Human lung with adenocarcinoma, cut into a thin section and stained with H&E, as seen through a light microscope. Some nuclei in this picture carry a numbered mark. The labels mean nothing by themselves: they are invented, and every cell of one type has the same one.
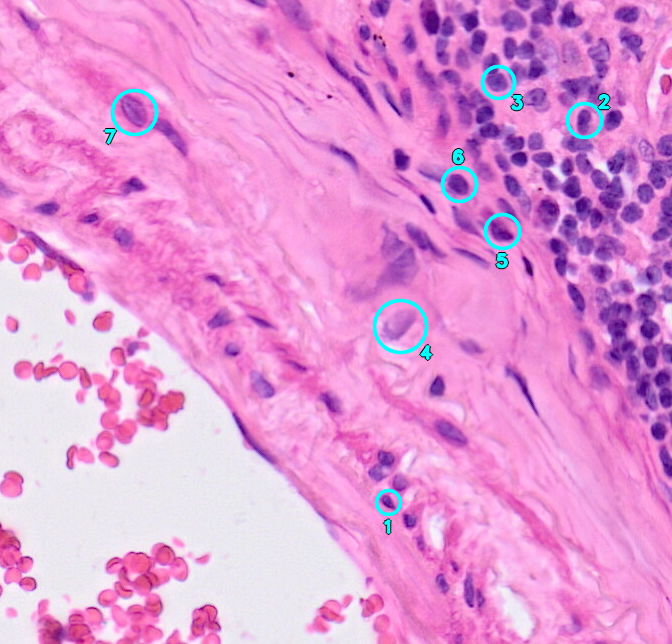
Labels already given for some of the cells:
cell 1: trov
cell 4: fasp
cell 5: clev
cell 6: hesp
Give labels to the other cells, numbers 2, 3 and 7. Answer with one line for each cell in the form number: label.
2: hesp
3: hesp
7: trov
